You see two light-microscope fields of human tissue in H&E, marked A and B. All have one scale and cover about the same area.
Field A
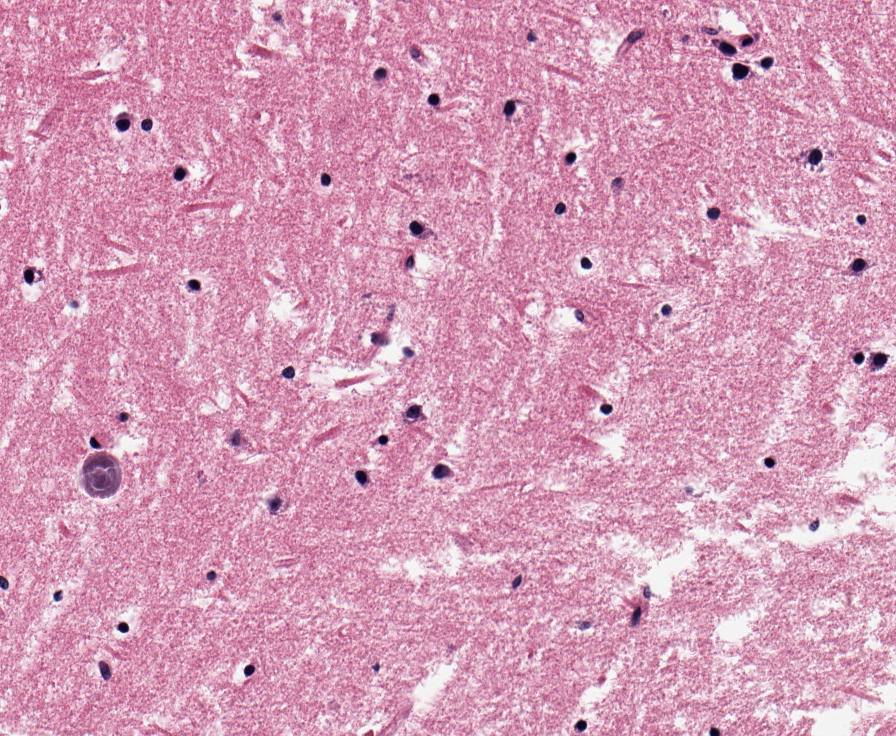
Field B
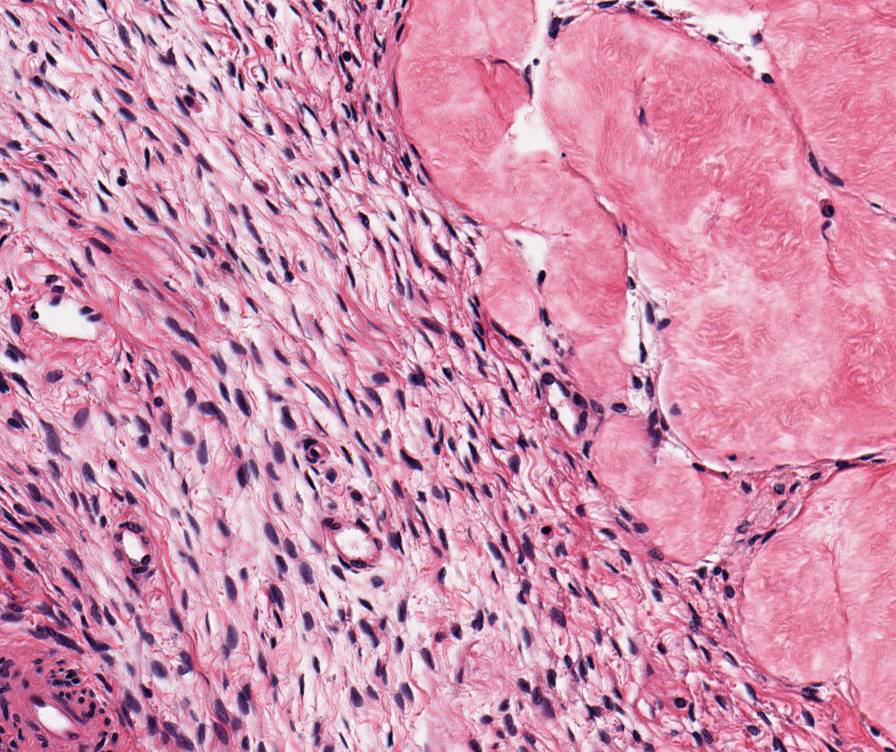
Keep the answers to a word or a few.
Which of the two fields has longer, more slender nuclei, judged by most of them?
B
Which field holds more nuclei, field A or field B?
B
